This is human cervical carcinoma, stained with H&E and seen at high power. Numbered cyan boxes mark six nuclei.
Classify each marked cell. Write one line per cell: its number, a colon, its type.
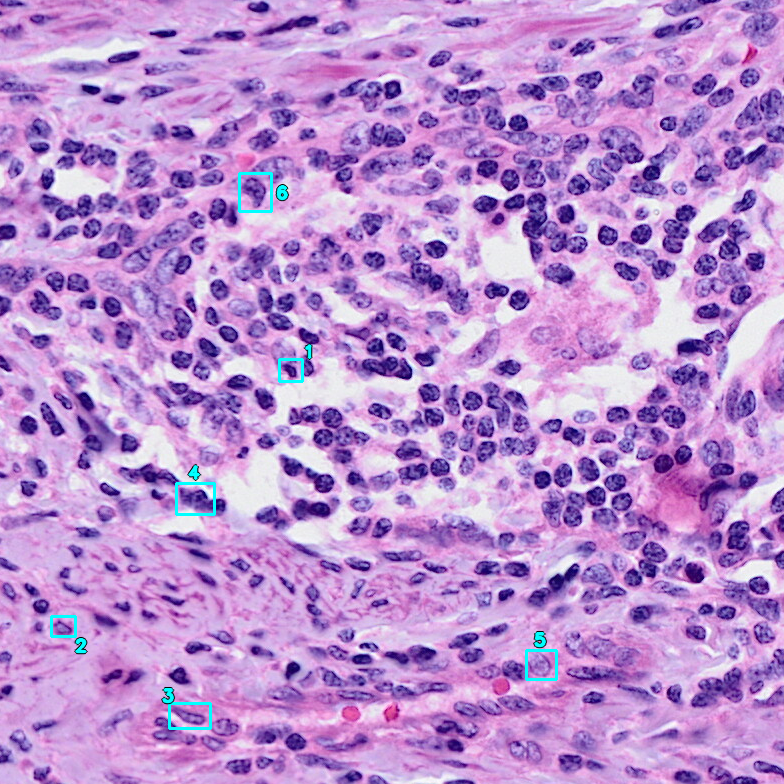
1: lymphocyte
2: smooth muscle cell
3: endothelial cell
4: lymphocyte
5: endothelial cell
6: lymphocyte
